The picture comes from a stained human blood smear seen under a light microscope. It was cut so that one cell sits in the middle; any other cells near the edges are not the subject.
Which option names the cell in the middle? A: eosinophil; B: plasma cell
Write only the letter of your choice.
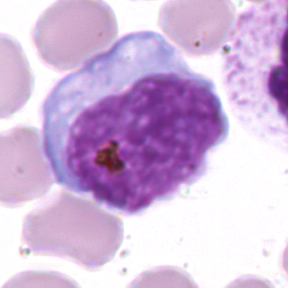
B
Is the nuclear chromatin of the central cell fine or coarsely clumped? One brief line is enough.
What stands out is fine chromatin lacking any coarse clumps.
